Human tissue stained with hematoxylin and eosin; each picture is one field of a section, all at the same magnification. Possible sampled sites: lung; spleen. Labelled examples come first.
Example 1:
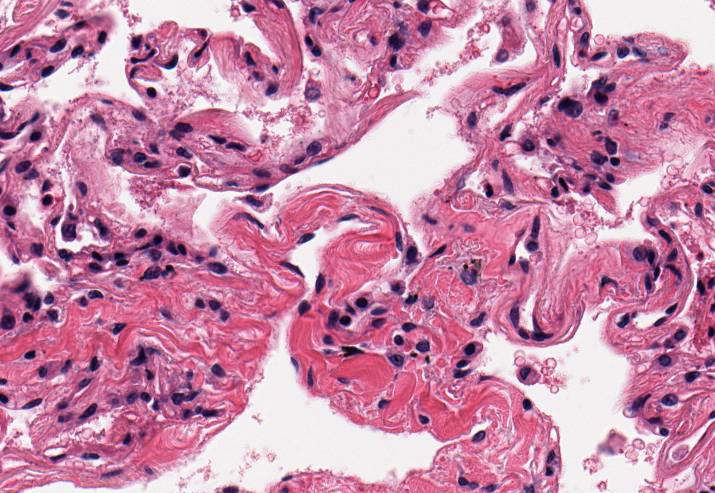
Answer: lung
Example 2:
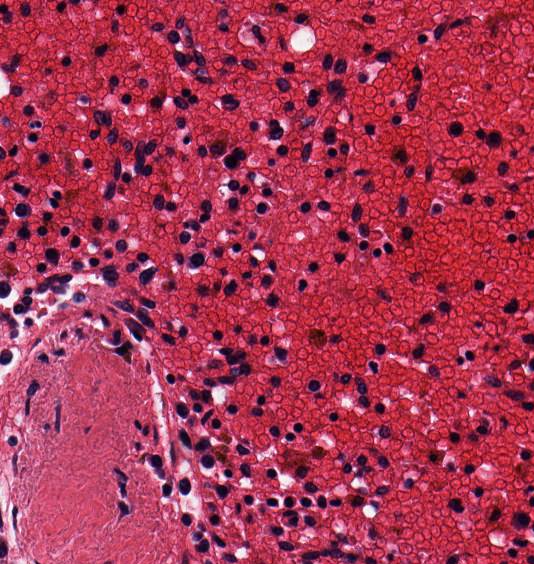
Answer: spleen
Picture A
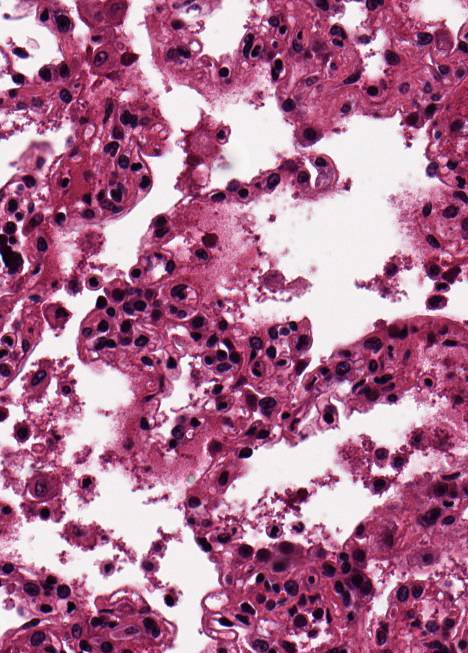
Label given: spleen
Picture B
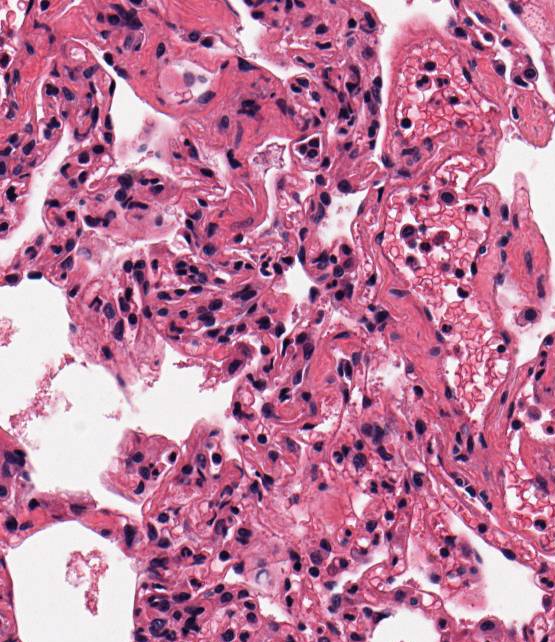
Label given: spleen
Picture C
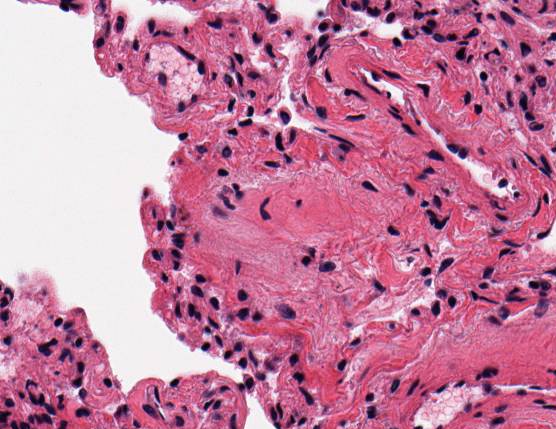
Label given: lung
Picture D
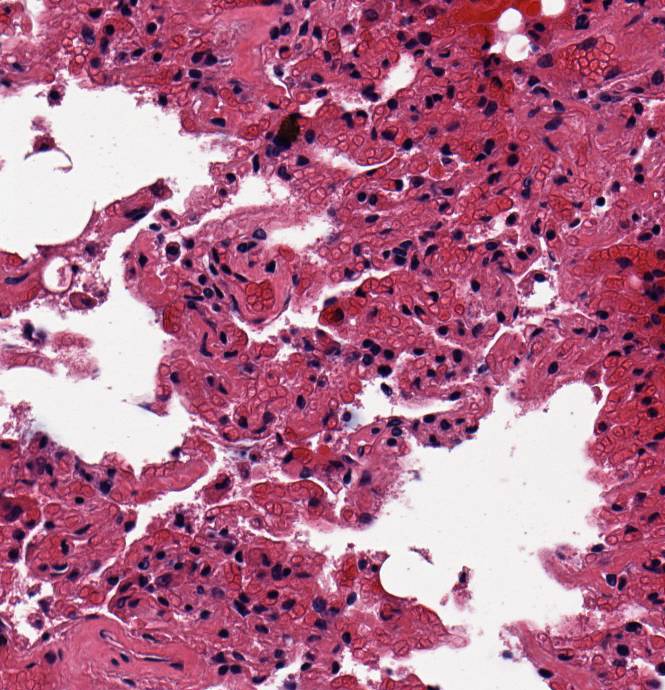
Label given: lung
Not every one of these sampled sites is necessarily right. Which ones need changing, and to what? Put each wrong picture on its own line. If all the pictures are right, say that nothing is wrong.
A should be lung, not spleen
B should be lung, not spleen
